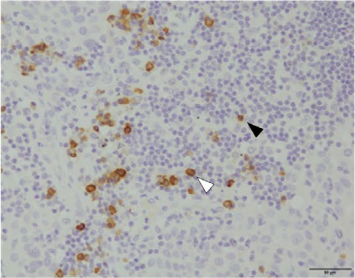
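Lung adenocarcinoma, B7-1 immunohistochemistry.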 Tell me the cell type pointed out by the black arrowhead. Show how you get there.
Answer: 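It lies among sheets of similar small round blue nuclei. The answer: lymphocytes.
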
